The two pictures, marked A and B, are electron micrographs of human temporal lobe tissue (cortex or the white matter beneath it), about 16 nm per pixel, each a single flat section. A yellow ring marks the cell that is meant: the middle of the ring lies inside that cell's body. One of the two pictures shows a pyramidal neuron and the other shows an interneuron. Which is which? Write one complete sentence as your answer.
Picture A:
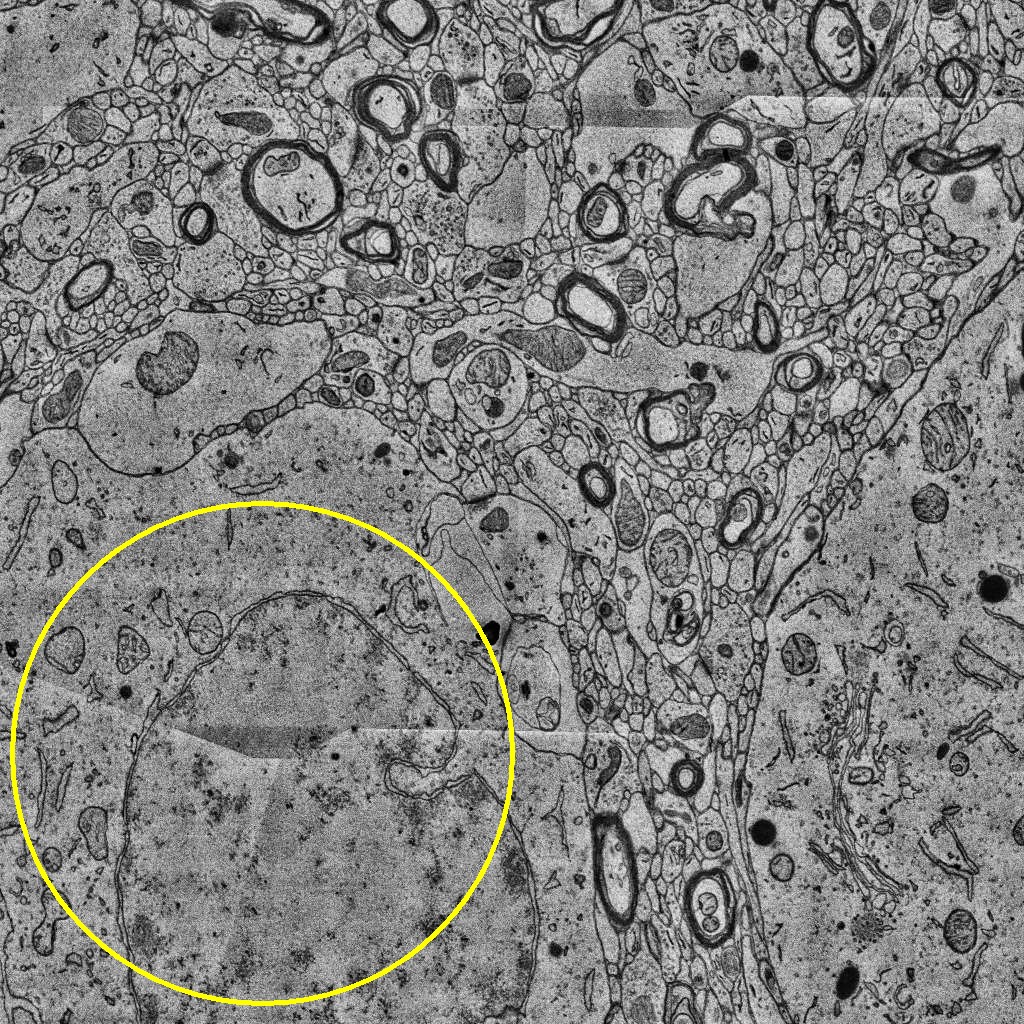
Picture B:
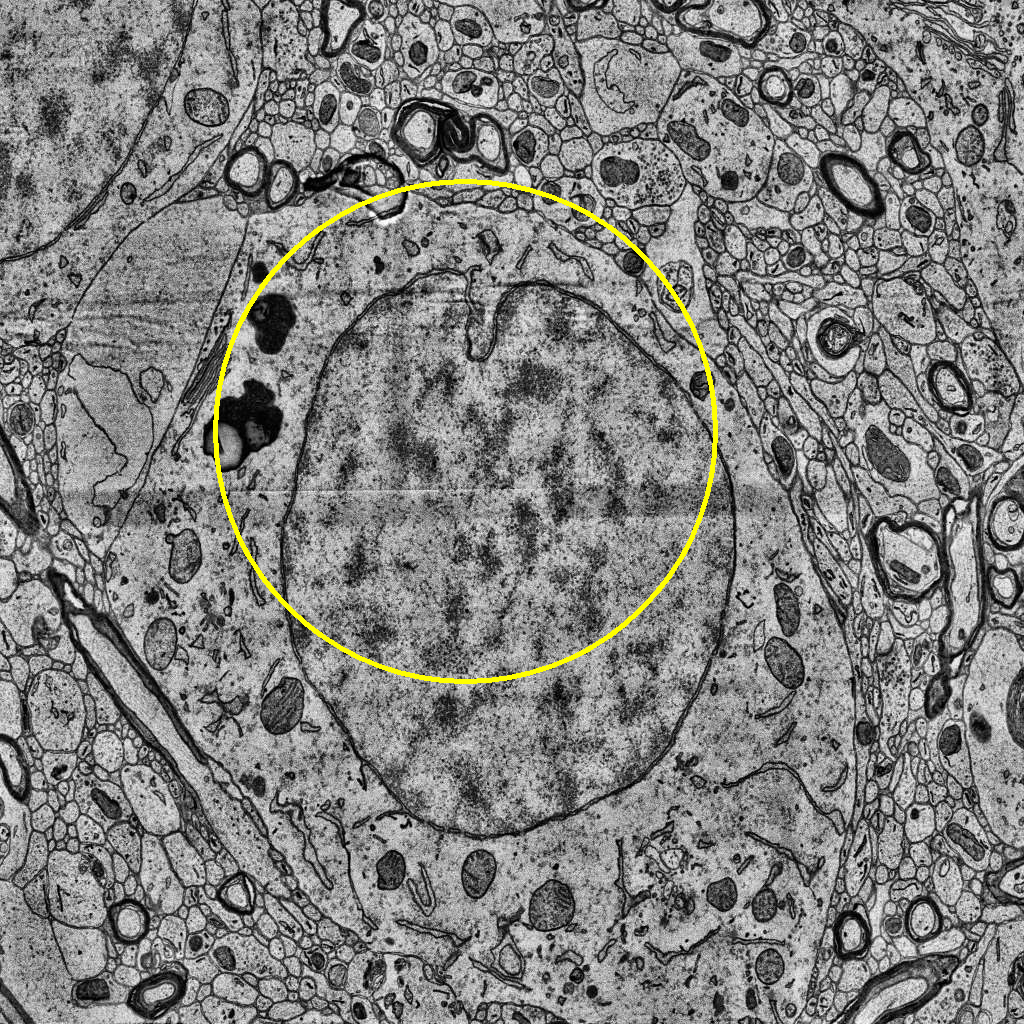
Picture B shows a pyramidal neuron, while picture A shows an interneuron.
